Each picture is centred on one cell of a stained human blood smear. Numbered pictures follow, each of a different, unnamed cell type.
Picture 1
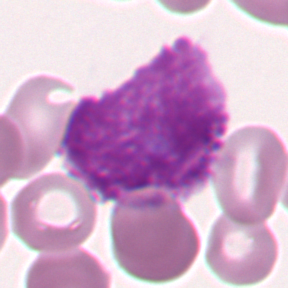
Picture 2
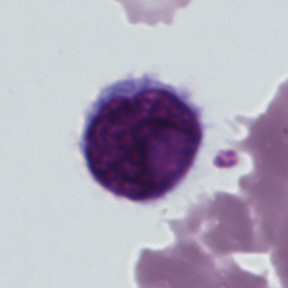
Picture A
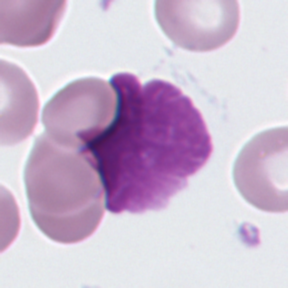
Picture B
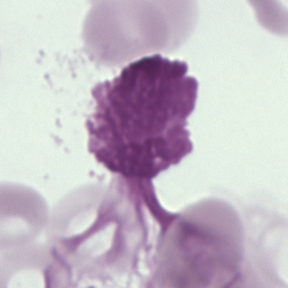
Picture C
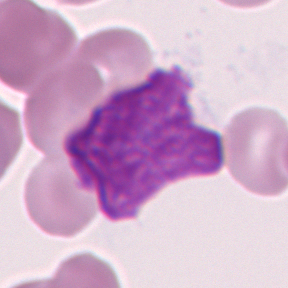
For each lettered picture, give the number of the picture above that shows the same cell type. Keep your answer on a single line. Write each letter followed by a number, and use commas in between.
A 1, B 1, C 1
